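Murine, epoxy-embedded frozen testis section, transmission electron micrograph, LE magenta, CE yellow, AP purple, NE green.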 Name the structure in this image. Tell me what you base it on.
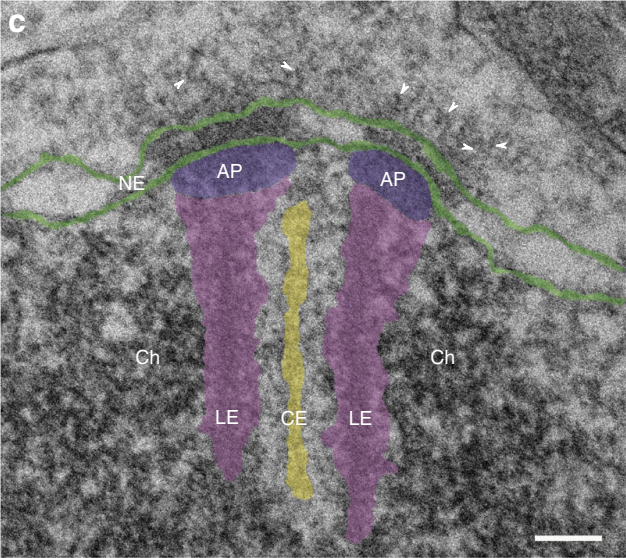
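Two parallel dense bars with a thin central line between them run perpendicular to the nuclear envelope. Each bar ends in a dense plate pressed against the inner side of the envelope. Dense chromatin lies on both sides of the bars.
Conclusion: Telomere attachment site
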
